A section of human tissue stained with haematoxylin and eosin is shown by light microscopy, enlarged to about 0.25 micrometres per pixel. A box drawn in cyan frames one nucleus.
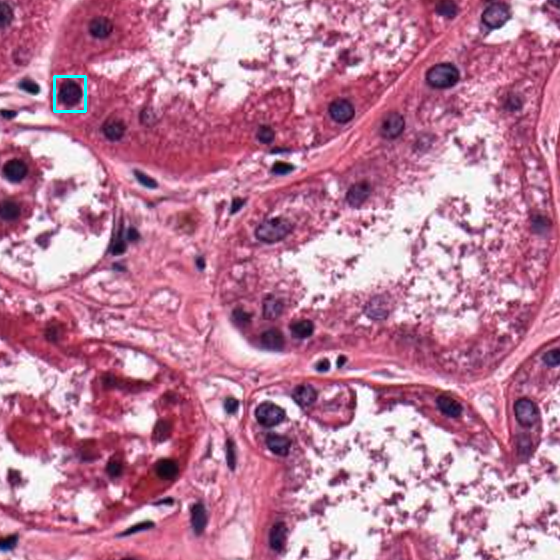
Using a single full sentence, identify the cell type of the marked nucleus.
The owner of the marked nucleus is a proximal tubule cell.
